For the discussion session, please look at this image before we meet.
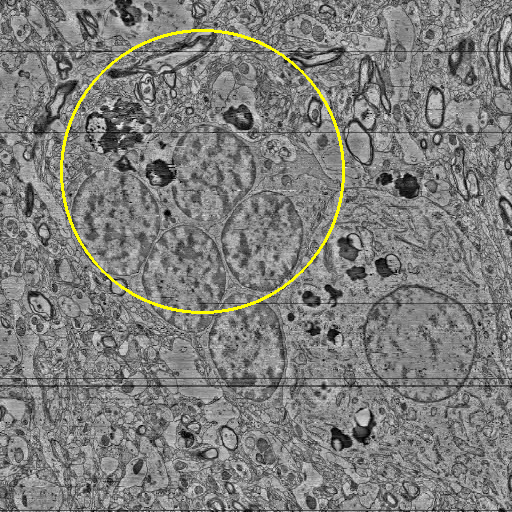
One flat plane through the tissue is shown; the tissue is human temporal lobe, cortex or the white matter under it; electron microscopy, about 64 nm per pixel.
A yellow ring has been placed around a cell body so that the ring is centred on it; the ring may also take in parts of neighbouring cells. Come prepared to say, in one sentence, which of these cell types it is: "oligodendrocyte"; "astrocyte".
The cell centred in the ring is an oligodendrocyte.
